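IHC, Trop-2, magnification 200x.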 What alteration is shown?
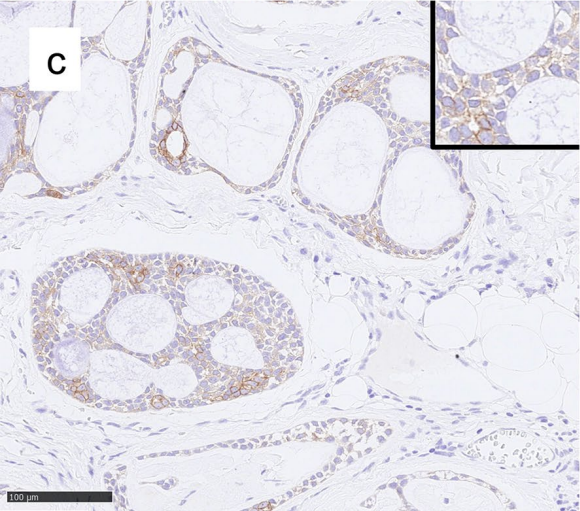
adenoid cystic carcinoma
